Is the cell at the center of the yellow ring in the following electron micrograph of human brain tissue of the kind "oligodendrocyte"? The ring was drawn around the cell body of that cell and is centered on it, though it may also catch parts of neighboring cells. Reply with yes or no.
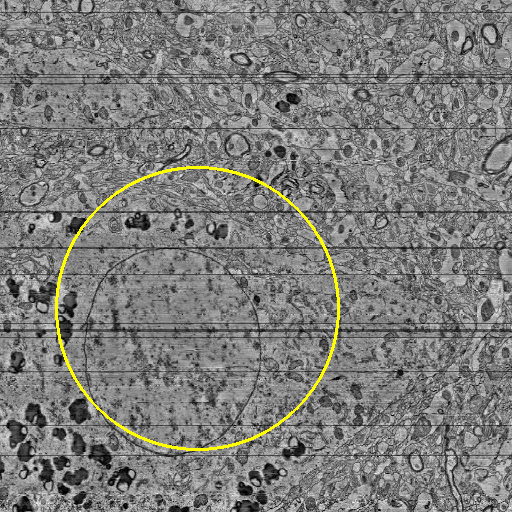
No, it is of another kind.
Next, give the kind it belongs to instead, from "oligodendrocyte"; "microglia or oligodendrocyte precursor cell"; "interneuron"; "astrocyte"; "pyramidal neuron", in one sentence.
That cell in the ring is a pyramidal neuron instead.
